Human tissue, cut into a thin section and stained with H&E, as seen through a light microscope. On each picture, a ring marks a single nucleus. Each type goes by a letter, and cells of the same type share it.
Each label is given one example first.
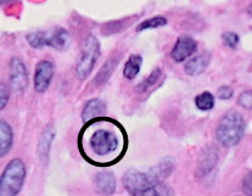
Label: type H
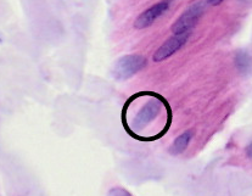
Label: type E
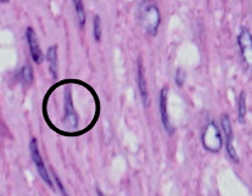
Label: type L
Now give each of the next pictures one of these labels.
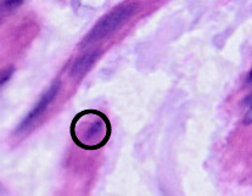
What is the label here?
type E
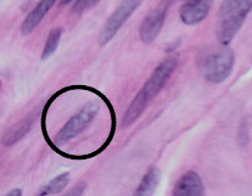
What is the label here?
type E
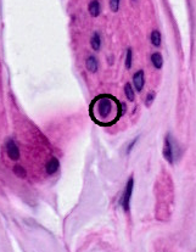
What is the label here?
type E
